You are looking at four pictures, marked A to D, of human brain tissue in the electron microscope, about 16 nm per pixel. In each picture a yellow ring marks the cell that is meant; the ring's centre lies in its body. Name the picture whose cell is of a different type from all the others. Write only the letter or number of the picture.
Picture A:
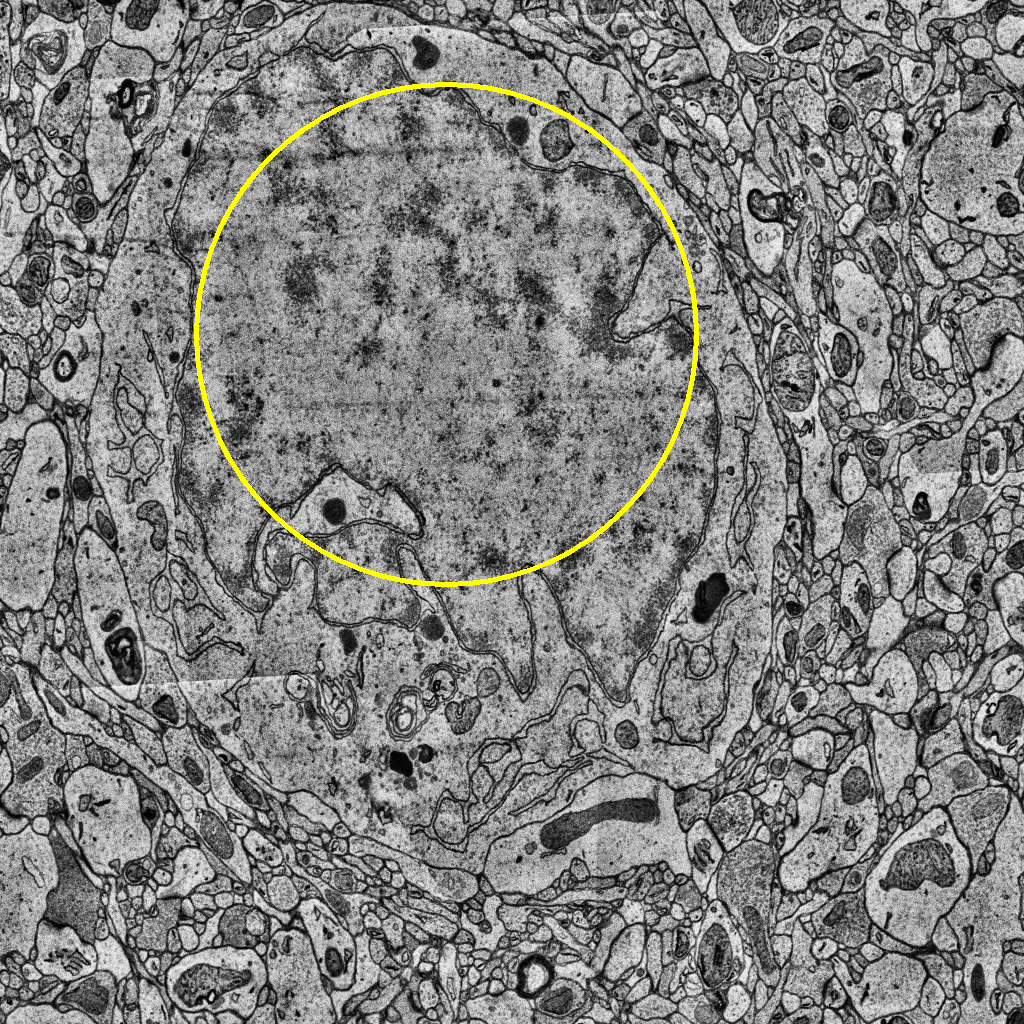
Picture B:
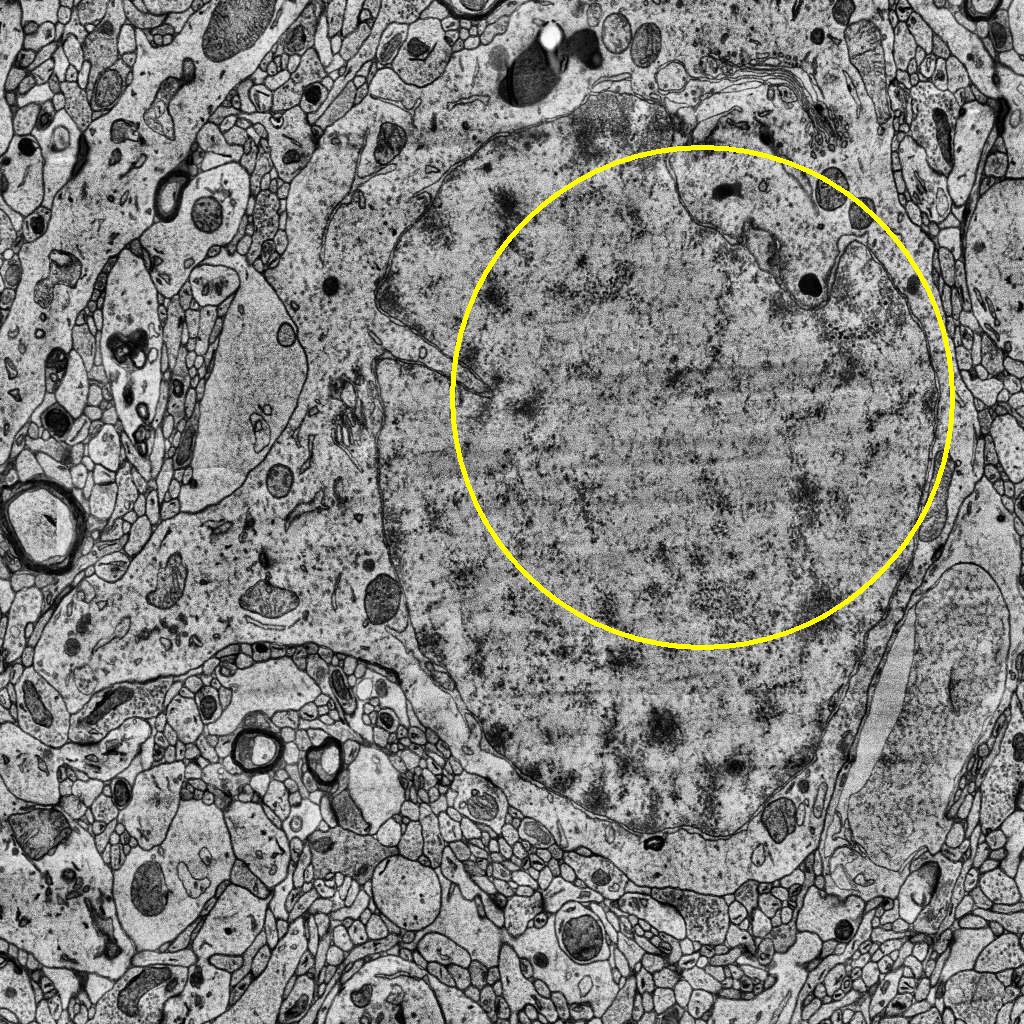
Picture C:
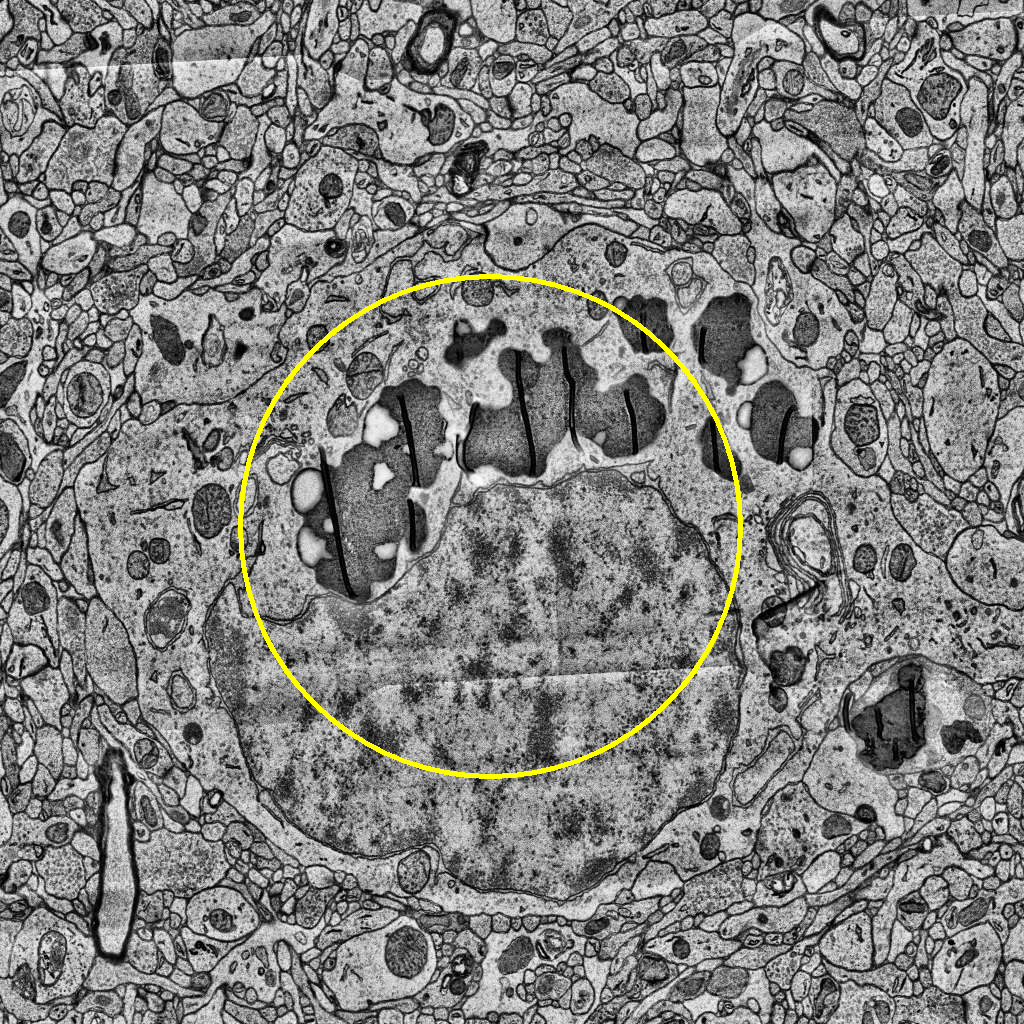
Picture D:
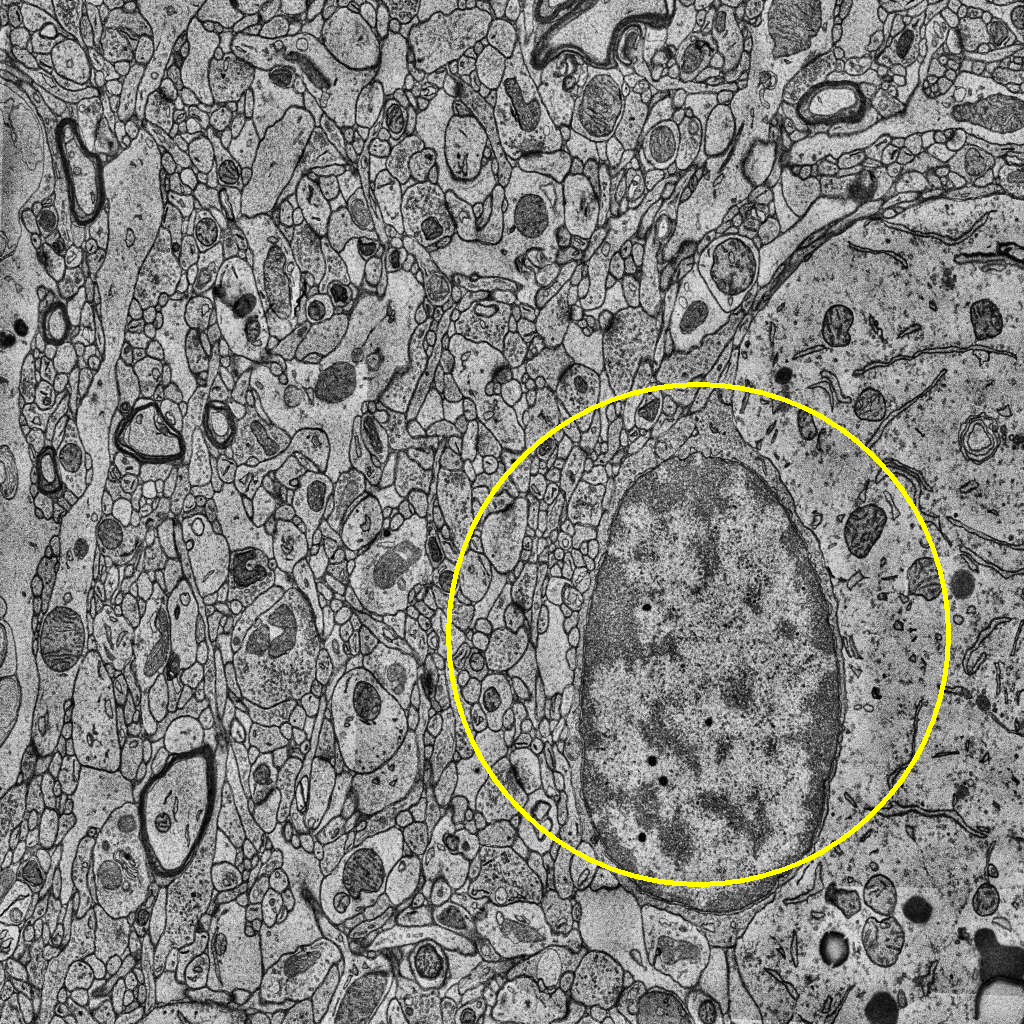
D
